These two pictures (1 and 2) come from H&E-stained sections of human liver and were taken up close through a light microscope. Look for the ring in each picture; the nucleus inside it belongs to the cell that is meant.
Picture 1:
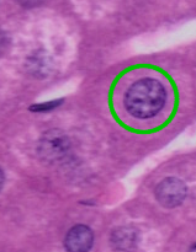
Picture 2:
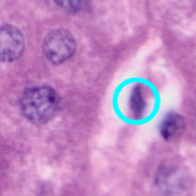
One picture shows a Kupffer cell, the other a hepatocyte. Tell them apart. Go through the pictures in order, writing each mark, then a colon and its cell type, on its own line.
1: hepatocyte
2: Kupffer cell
